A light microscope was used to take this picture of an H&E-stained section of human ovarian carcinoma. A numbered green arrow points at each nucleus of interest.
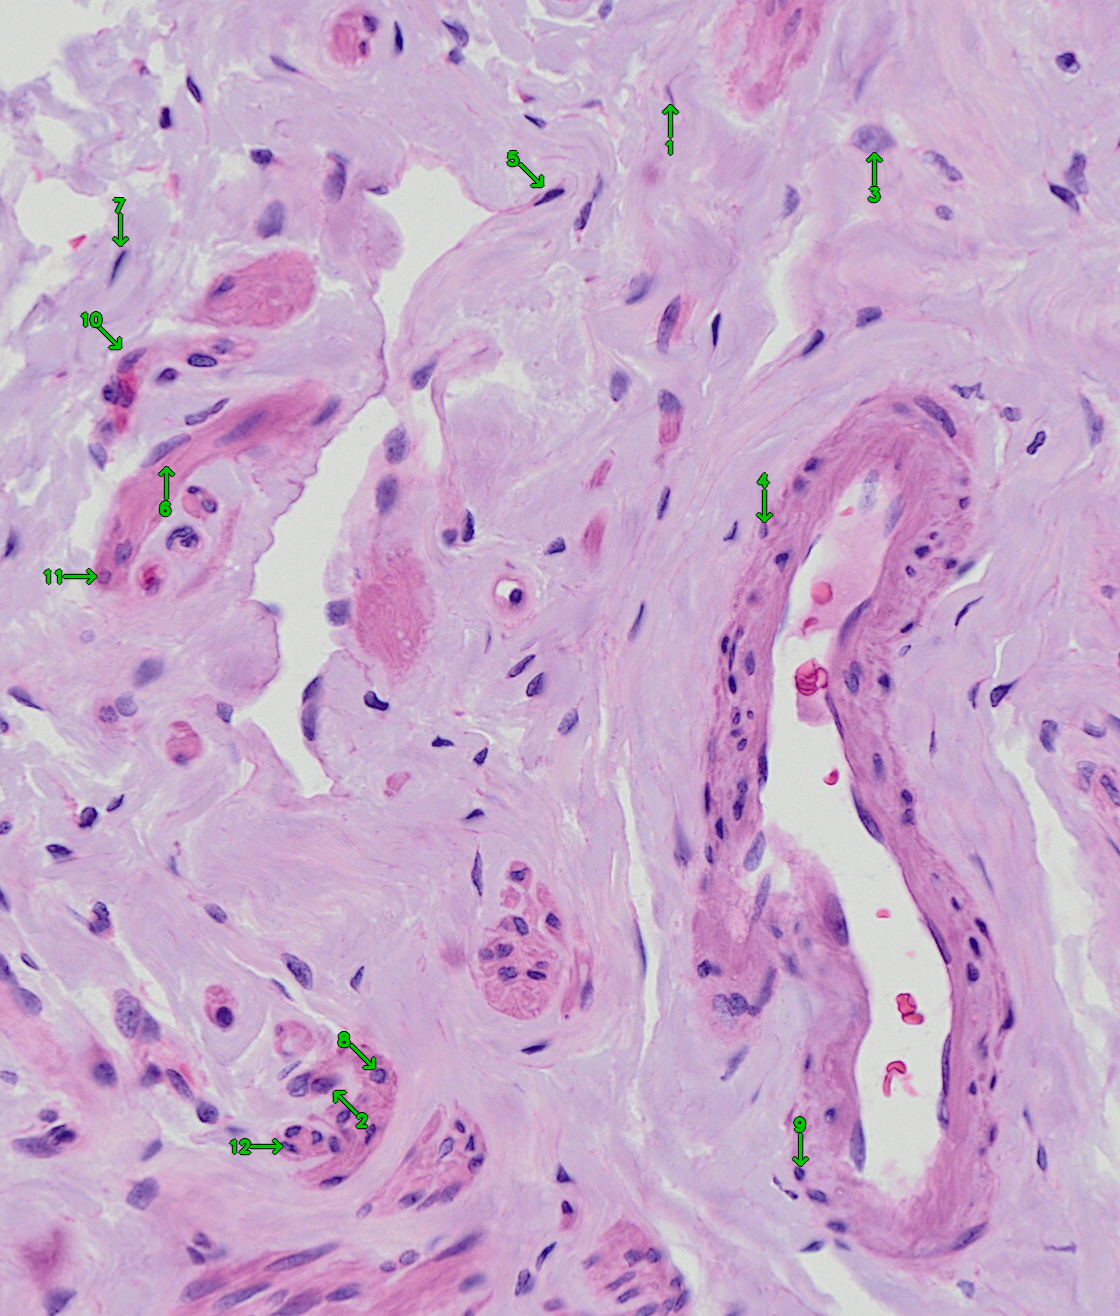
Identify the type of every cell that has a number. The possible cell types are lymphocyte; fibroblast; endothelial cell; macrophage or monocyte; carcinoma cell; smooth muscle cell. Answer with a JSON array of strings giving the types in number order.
["fibroblast", "smooth muscle cell", "fibroblast", "smooth muscle cell", "fibroblast", "smooth muscle cell", "fibroblast", "smooth muscle cell", "smooth muscle cell", "endothelial cell", "smooth muscle cell", "smooth muscle cell"]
